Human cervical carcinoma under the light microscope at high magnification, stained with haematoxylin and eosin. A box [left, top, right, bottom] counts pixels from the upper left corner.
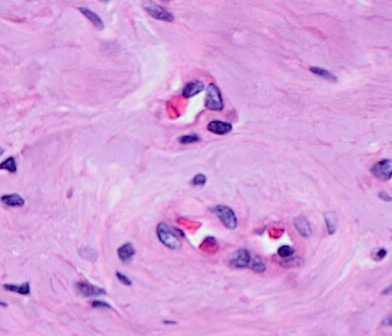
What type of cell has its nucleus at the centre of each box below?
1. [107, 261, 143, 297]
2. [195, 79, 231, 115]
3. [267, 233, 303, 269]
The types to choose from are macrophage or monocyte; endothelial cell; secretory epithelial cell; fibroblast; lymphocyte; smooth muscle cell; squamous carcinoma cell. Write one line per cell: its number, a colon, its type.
1: fibroblast
2: endothelial cell
3: endothelial cell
